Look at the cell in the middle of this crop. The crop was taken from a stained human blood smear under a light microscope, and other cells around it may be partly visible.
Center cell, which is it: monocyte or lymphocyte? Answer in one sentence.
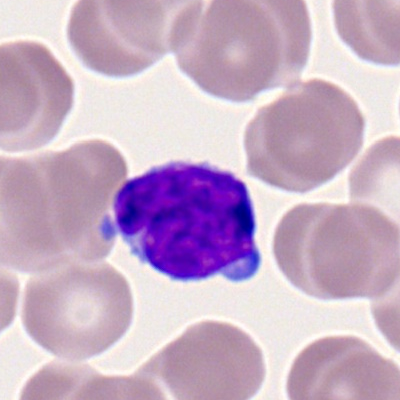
The centered cell in this crop is a lymphocyte.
